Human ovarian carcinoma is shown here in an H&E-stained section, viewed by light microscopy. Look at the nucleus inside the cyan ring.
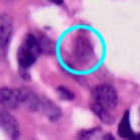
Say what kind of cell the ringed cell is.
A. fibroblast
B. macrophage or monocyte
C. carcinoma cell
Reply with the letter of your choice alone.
C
